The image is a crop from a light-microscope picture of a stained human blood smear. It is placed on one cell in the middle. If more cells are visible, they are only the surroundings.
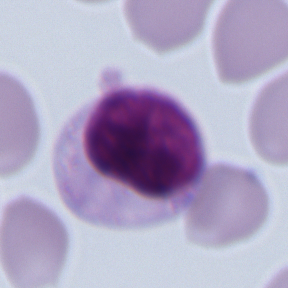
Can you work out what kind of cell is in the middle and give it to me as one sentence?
The cell occupying the middle of the crop is a large granular lymphocyte.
